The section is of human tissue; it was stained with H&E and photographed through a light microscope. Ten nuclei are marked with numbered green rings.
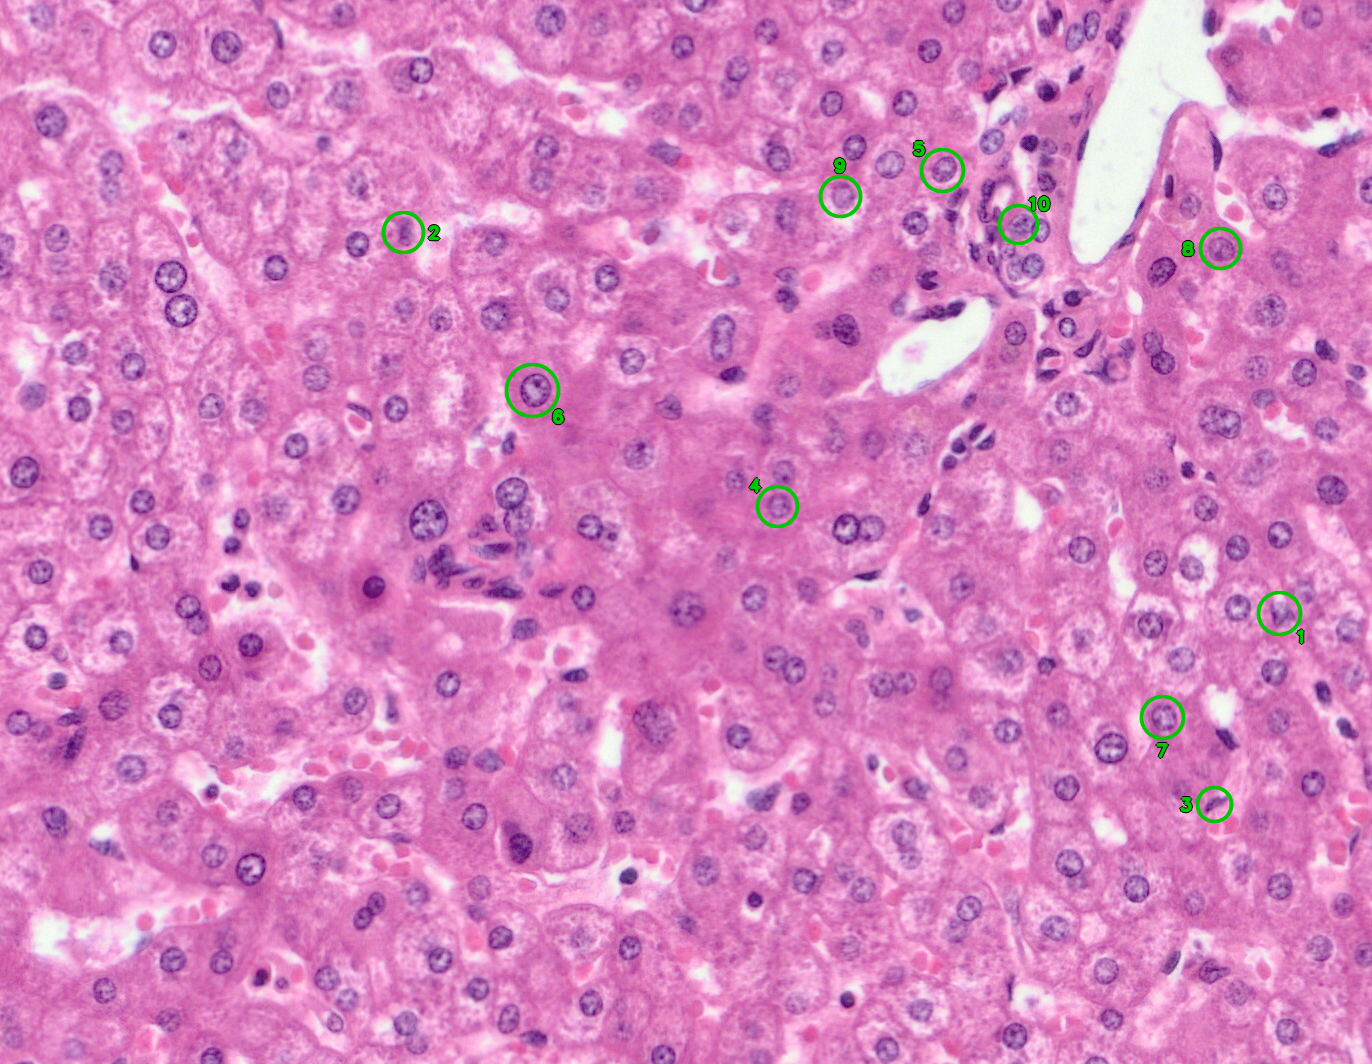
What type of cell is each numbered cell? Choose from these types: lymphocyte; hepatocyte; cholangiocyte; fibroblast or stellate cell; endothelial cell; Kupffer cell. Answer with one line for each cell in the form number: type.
1: endothelial cell
2: endothelial cell
3: endothelial cell
4: hepatocyte
5: hepatocyte
6: hepatocyte
7: hepatocyte
8: hepatocyte
9: hepatocyte
10: cholangiocyte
